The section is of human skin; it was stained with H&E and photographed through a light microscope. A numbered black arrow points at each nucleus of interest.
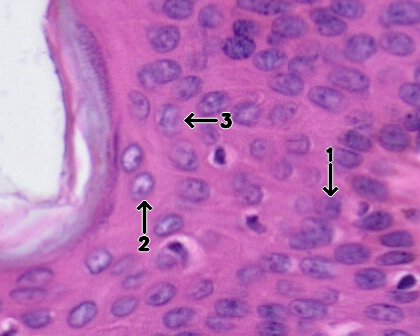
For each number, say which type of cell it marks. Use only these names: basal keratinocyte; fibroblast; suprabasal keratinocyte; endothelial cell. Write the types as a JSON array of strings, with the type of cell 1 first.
["basal keratinocyte", "suprabasal keratinocyte", "suprabasal keratinocyte"]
